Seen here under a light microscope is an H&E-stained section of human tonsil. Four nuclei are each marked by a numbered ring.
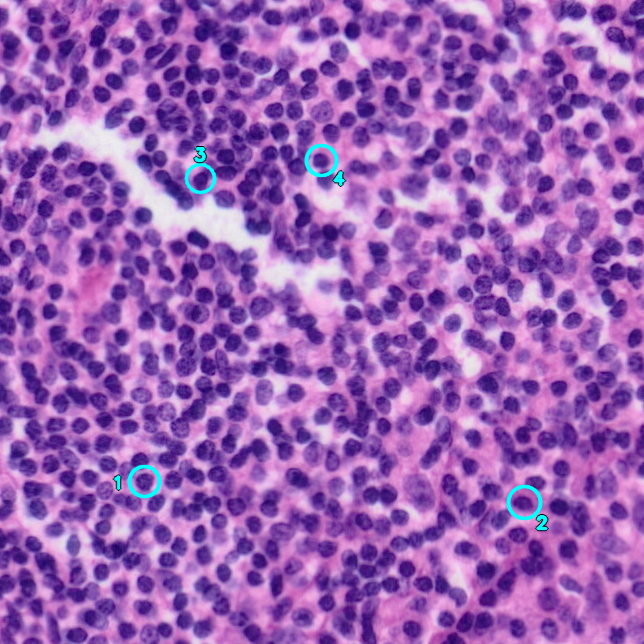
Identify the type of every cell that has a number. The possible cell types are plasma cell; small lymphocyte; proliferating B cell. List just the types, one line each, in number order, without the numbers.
small lymphocyte
plasma cell
small lymphocyte
small lymphocyte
